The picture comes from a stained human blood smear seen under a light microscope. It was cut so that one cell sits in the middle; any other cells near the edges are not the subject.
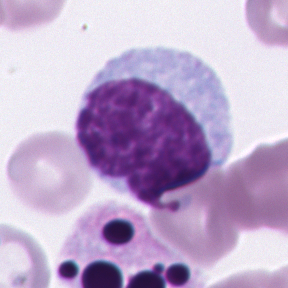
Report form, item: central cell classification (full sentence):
In the crop, the cell of interest at the centre is a monocyte.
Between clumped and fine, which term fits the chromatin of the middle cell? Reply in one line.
Here the nuclear chromatin is coarsely clumped.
